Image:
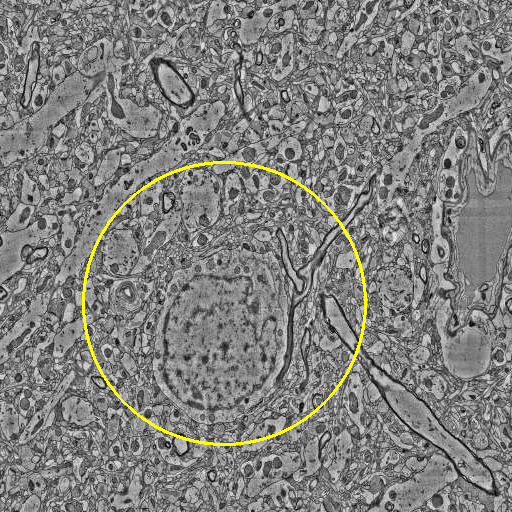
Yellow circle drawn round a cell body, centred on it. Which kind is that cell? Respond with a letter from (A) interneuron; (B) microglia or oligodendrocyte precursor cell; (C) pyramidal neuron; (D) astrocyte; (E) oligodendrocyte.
A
